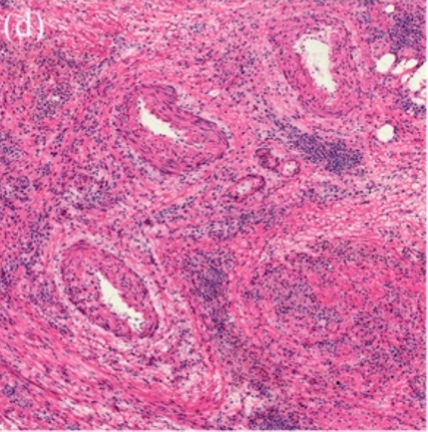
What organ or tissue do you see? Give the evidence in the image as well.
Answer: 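Several oval structures have a central open lumen. Each lumen is ringed by a thick, layered pink wall with elongated nuclei arranged around it.
Blood vessel.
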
